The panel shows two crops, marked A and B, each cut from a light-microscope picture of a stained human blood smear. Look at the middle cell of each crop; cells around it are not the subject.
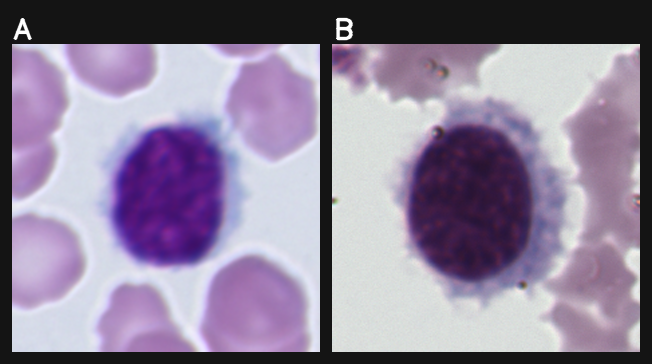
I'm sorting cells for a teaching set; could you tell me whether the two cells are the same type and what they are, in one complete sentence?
Yes, that holds, both crops show hairy cells.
